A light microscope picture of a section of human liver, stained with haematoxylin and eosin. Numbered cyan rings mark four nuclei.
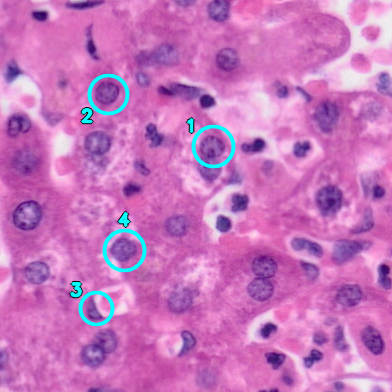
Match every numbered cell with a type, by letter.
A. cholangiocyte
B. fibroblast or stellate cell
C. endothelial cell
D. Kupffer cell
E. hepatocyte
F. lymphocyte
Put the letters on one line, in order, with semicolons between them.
E; E; C; E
